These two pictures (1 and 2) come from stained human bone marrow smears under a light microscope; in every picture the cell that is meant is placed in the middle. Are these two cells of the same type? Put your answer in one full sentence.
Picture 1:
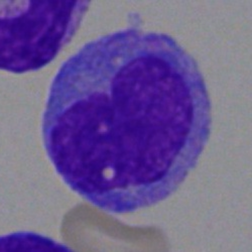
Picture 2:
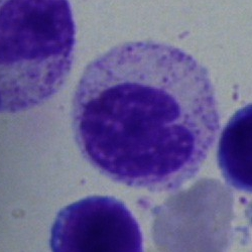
No, picture 1 shows a monocyte and picture 2 shows a myelocyte.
